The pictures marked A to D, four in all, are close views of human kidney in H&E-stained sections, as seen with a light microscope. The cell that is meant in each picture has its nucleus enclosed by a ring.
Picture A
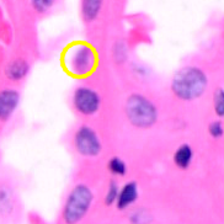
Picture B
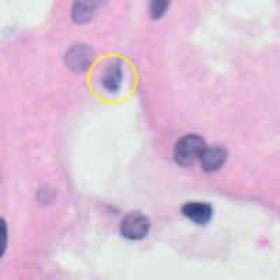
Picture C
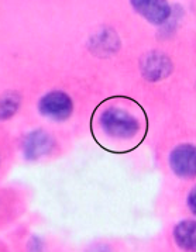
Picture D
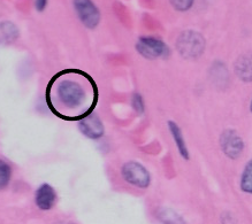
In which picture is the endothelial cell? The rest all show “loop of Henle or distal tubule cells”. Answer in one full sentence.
The picture with the endothelial cell is B.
